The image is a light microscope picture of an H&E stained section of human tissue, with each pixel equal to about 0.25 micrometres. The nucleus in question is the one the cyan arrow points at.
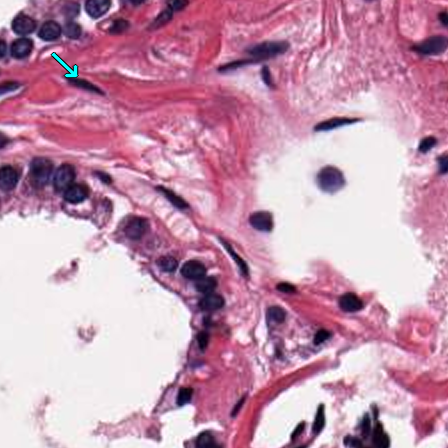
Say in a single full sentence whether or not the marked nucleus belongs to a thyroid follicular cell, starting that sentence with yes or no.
No, as for the marked nucleus, it belongs to a supporting cell and not to a thyroid follicular cell.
